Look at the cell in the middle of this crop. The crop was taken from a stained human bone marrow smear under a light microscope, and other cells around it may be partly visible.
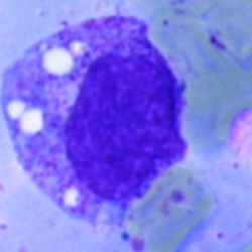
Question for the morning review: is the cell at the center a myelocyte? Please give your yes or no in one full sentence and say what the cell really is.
Yes, a myelocyte occupies the middle of the crop.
